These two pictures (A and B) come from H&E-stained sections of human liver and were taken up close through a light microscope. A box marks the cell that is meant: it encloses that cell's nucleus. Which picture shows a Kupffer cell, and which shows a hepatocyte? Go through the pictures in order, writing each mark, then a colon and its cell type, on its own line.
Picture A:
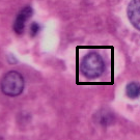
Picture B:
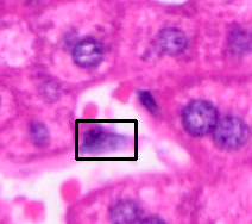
A: hepatocyte
B: Kupffer cell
